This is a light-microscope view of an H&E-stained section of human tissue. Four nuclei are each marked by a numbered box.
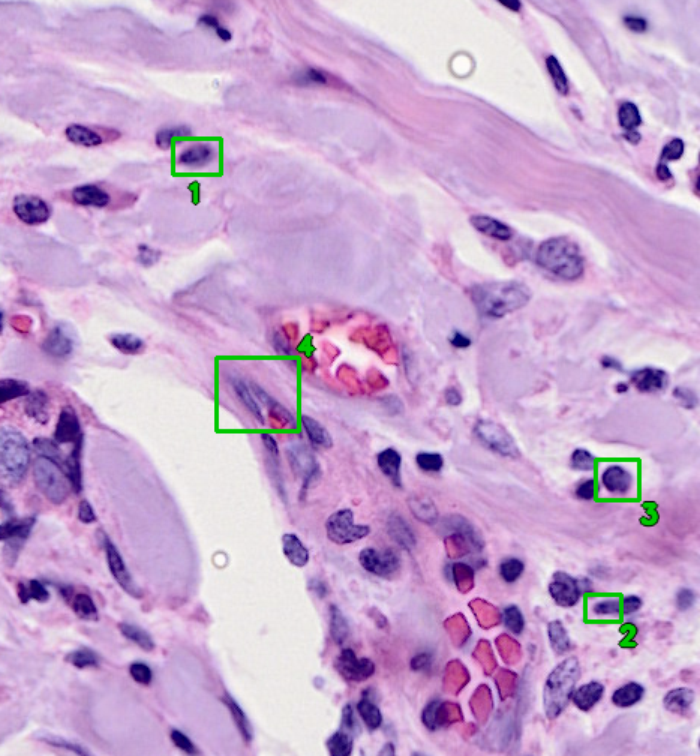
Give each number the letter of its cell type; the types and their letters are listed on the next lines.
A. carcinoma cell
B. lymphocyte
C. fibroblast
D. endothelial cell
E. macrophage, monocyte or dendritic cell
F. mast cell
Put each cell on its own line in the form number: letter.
1: B
2: B
3: B
4: D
